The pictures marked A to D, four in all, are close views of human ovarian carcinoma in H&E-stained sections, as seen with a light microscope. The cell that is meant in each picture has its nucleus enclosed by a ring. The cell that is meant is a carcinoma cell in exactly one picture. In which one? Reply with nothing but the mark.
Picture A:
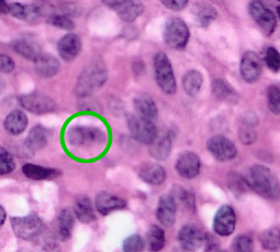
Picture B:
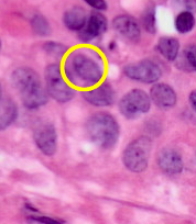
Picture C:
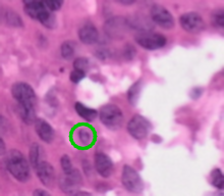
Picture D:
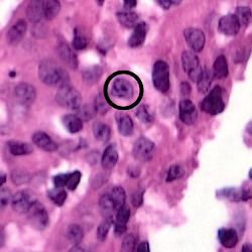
B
